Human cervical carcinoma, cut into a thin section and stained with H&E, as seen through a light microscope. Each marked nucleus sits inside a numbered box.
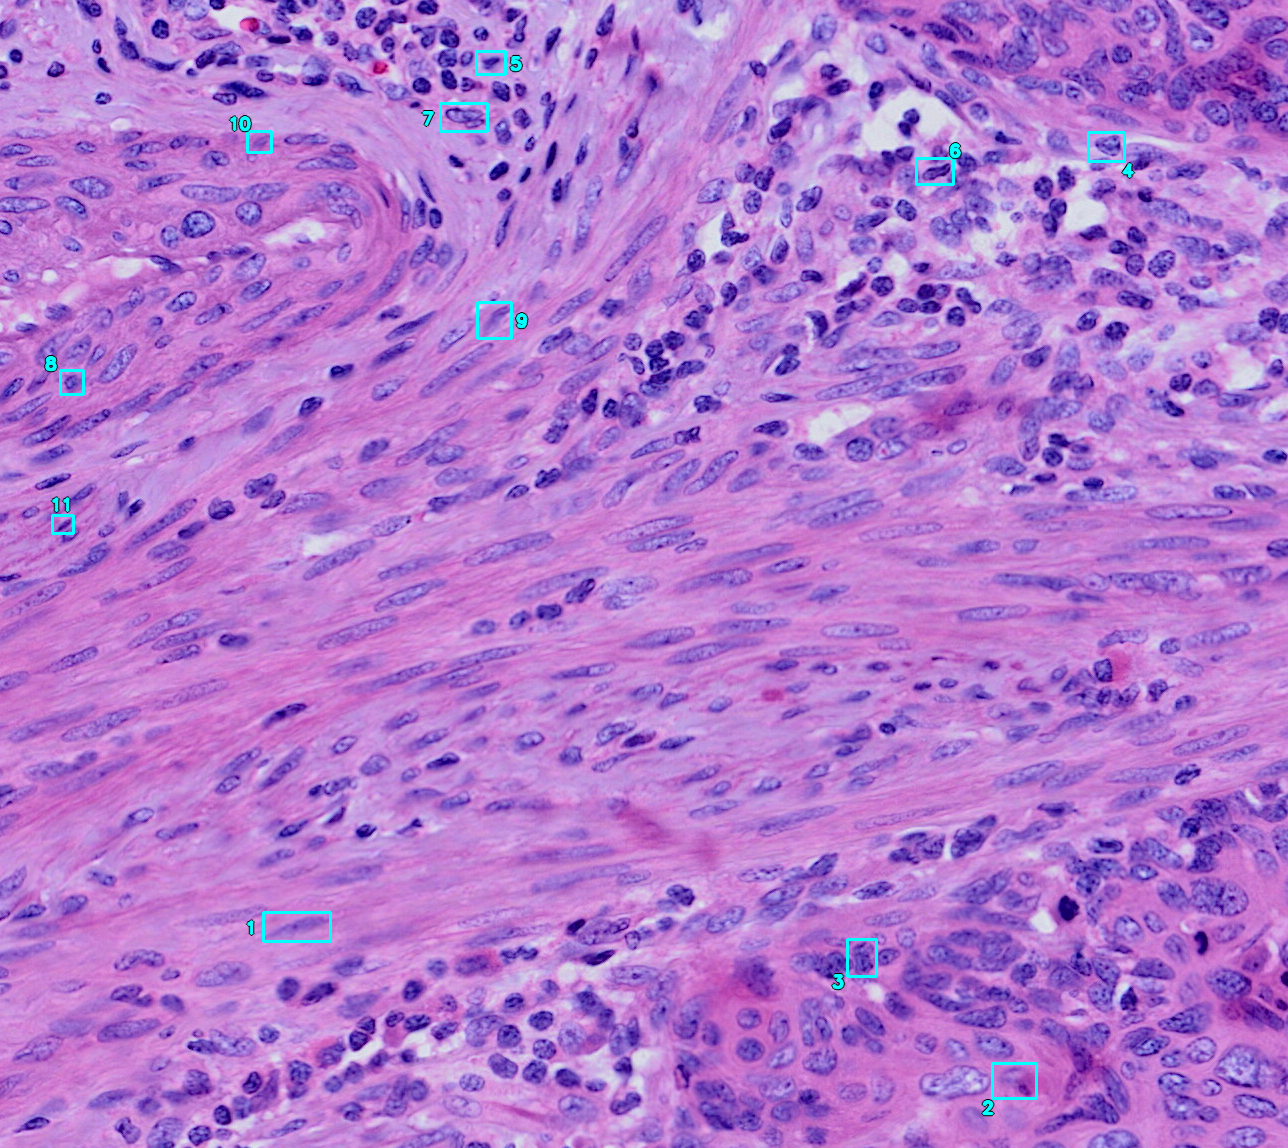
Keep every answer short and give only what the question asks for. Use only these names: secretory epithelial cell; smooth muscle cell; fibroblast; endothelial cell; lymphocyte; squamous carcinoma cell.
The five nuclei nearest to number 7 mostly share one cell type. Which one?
lymphocyte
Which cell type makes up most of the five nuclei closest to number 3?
squamous carcinoma cell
